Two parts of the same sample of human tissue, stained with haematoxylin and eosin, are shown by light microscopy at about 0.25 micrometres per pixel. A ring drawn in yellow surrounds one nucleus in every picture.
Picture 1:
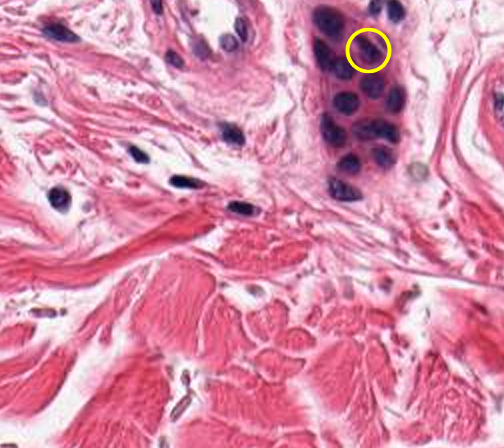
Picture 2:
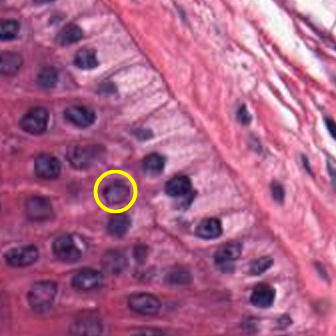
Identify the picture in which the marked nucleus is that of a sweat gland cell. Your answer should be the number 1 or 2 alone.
1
